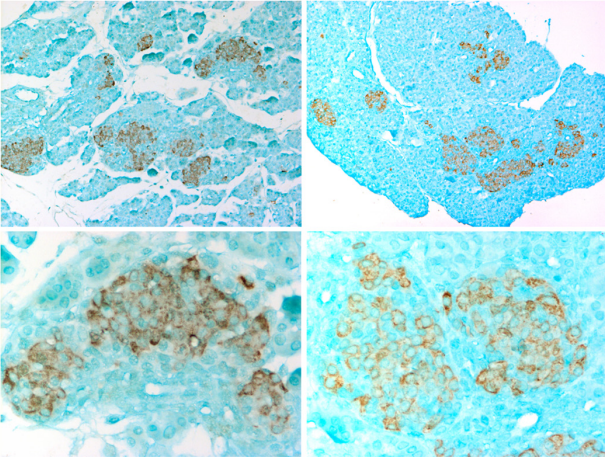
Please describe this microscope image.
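Pancreatic tissue in which rounded clusters of islet cells stained brown lie scattered among blue-green counterstained exocrine acinar tissue. Acinar cells around the islets have round nuclei and are unstained by the brown chromogen.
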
